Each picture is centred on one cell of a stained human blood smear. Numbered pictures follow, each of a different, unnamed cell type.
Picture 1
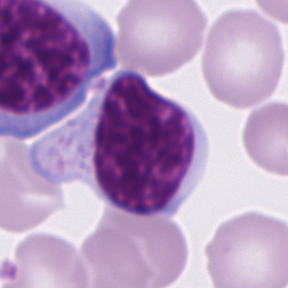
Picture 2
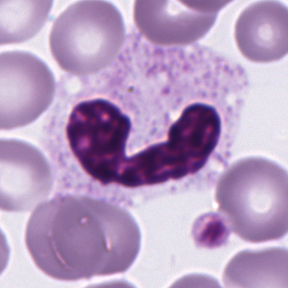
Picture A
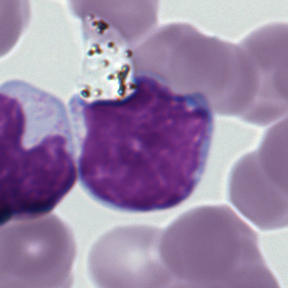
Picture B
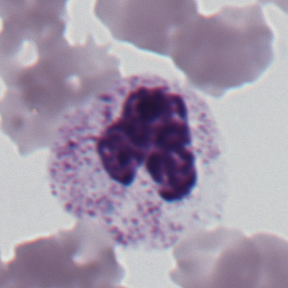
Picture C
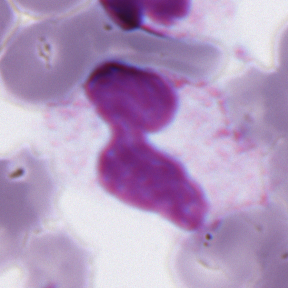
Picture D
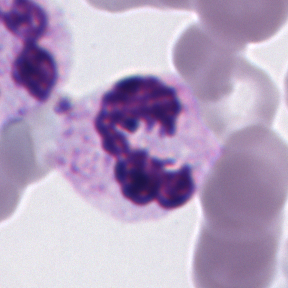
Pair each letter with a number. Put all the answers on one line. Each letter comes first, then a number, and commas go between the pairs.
A 1, B 2, C 2, D 2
